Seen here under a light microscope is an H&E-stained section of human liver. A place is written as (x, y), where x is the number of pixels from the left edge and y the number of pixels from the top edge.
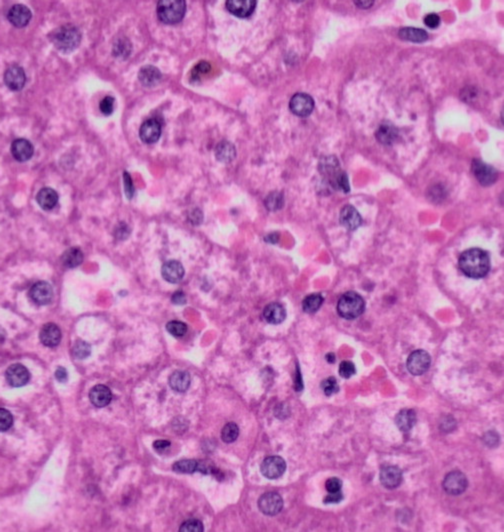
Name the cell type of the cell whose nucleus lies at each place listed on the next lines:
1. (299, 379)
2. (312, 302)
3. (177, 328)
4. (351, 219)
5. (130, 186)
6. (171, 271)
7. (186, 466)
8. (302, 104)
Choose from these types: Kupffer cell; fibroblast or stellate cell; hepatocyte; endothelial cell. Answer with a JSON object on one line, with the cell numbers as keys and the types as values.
{"1": "endothelial cell", "2": "fibroblast or stellate cell", "3": "Kupffer cell", "4": "hepatocyte", "5": "endothelial cell", "6": "hepatocyte", "7": "Kupffer cell", "8": "hepatocyte"}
